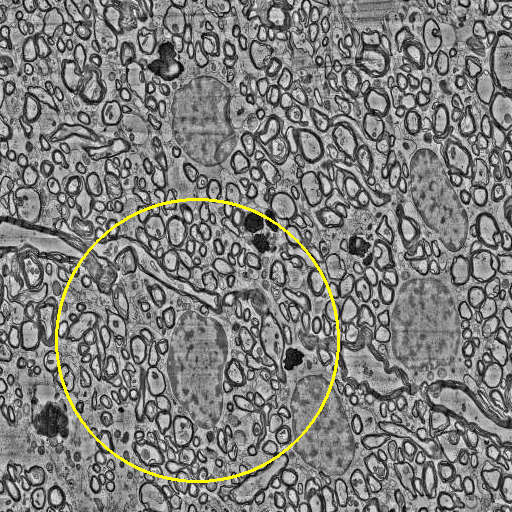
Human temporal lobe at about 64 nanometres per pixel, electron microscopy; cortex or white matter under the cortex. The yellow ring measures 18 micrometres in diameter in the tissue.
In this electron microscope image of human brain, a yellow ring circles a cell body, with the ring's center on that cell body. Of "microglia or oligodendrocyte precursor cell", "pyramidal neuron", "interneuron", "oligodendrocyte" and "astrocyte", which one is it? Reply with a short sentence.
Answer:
It is a microglial cell or oligodendrocyte precursor cell at the center of the ring.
